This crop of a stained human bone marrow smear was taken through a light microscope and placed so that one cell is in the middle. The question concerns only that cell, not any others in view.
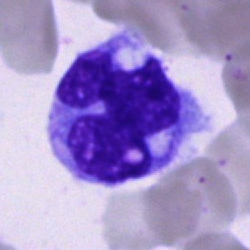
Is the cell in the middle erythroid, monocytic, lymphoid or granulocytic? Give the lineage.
monocytic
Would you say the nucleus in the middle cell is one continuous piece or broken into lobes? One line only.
One defining trait here is a nucleus of two or more segments.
